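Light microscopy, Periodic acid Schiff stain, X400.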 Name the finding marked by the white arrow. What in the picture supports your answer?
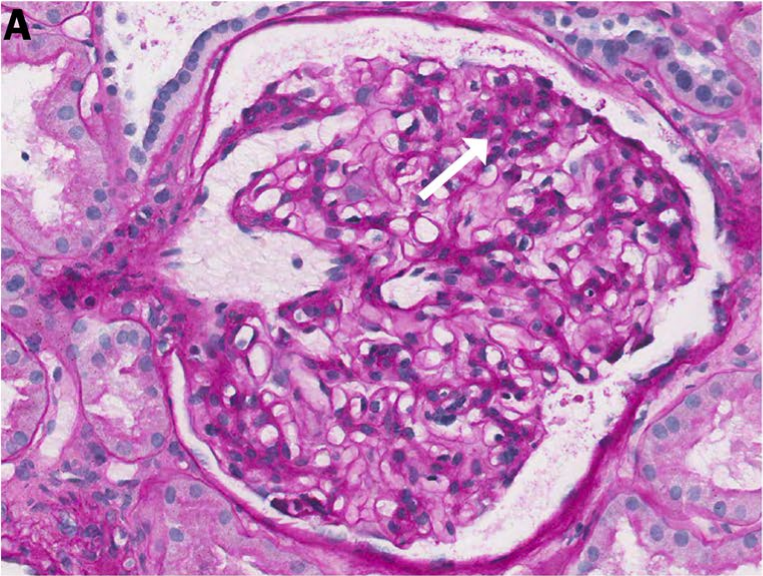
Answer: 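The arrow points into a lobule of the glomerular tuft where nuclei lie crowded together. Magenta-stained matrix lies between the capillary loops around these nuclei. The answer: mesangial hypercellularity.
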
